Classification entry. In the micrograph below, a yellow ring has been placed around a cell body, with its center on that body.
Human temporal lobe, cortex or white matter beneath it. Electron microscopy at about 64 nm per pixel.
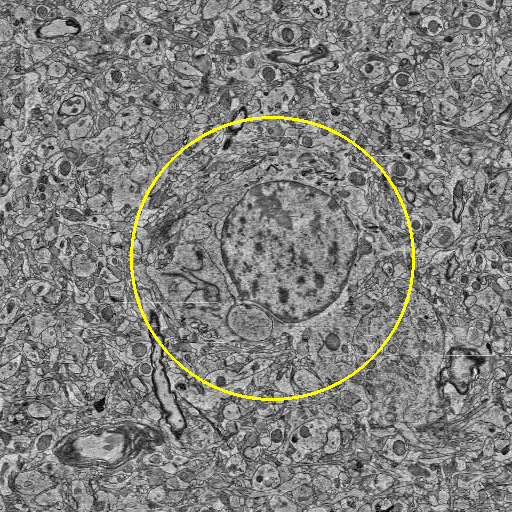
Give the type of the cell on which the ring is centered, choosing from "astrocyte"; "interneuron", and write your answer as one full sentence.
The cell body at the center of the yellow ring belongs to an astrocyte.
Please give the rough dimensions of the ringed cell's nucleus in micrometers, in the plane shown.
In this plane the ringed cell's nucleus is roughly 9 micrometres across.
